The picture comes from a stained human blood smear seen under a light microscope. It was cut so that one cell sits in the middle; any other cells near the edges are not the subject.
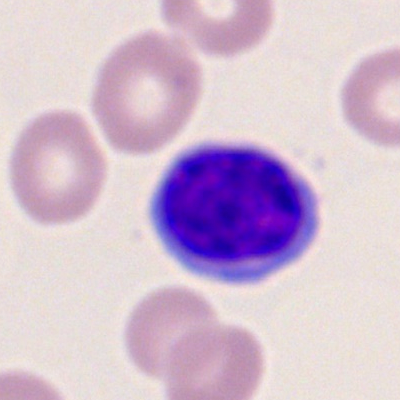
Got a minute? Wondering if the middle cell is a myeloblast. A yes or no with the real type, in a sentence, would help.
No, the cell at the centre of the crop corresponds to a lymphocyte, not a myeloblast.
